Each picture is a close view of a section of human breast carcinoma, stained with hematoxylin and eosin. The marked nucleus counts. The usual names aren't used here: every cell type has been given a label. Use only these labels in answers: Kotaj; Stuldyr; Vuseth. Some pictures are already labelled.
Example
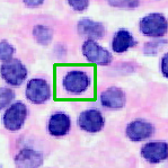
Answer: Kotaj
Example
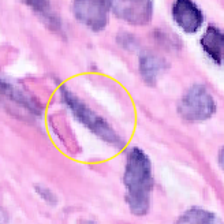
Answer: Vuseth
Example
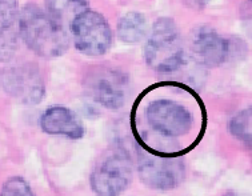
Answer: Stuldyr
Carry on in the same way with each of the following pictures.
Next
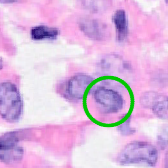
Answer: Stuldyr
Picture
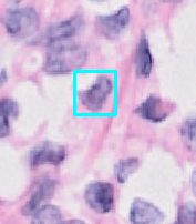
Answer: Stuldyr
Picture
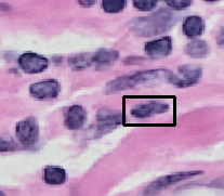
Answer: Kotaj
